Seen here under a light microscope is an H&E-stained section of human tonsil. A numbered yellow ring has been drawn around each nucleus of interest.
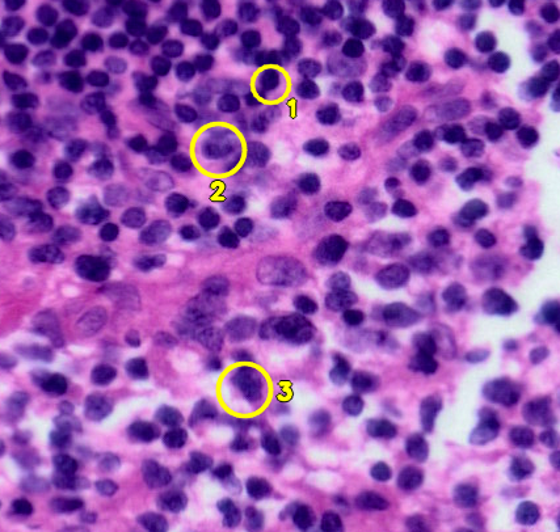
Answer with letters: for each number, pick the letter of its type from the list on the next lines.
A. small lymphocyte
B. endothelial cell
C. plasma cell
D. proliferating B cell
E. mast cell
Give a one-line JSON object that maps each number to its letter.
{"1": "A", "2": "D", "3": "D"}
